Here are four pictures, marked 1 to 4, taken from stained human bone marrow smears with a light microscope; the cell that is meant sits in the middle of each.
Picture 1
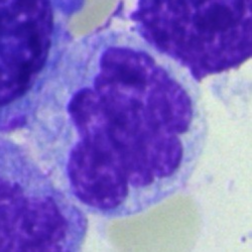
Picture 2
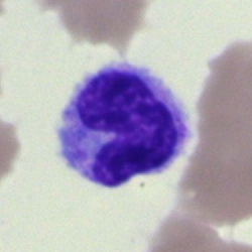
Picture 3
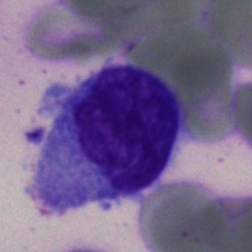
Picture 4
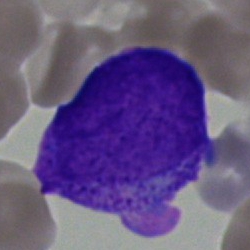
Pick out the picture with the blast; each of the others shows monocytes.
4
